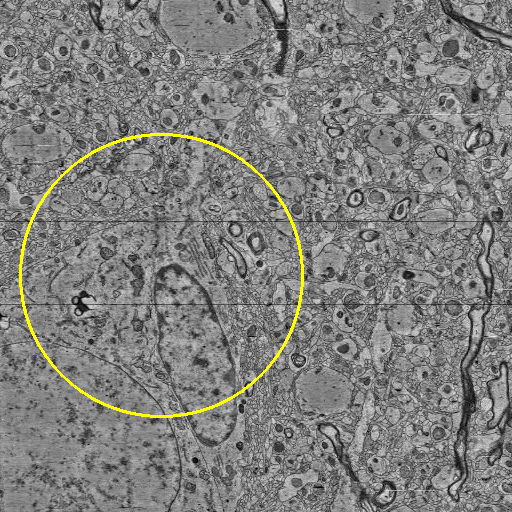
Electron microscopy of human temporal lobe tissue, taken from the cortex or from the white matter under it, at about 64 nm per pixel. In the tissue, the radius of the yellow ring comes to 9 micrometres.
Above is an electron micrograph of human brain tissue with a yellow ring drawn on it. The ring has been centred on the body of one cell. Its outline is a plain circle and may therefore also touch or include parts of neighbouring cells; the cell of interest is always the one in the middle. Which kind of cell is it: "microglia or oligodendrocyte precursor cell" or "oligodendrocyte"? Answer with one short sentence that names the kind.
The ring's central cell body is that of a microglial cell or oligodendrocyte precursor cell.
